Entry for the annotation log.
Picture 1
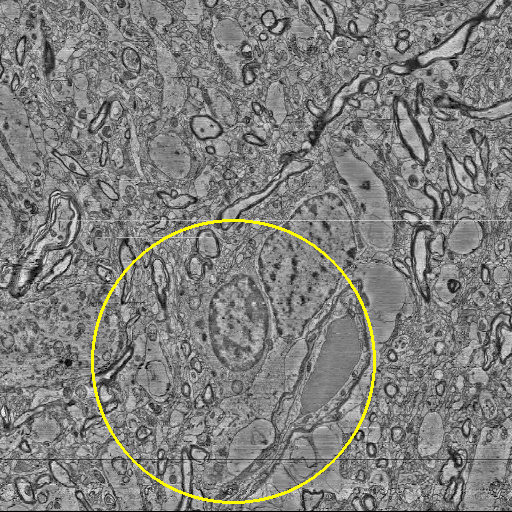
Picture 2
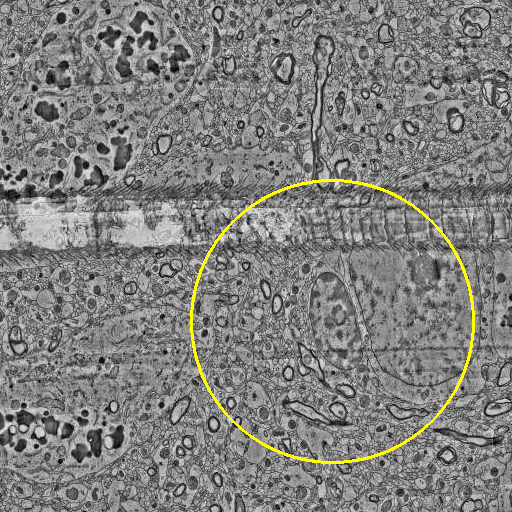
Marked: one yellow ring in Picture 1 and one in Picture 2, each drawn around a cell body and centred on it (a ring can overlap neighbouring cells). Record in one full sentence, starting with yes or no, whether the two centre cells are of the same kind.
No, the two cells are of two kinds.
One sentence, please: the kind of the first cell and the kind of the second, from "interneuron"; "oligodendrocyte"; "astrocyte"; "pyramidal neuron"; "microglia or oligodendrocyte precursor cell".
The ring in the first picture surrounds an oligodendrocyte, and the ring in the second surrounds a microglial cell or oligodendrocyte precursor cell.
